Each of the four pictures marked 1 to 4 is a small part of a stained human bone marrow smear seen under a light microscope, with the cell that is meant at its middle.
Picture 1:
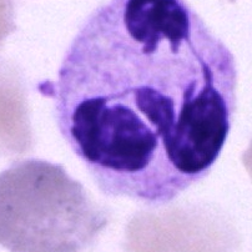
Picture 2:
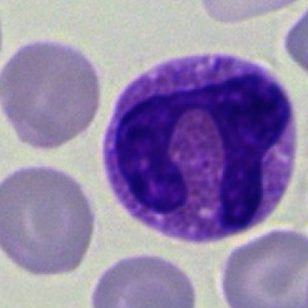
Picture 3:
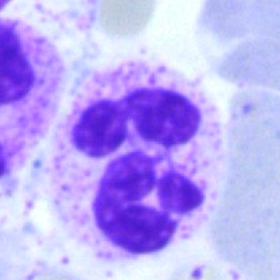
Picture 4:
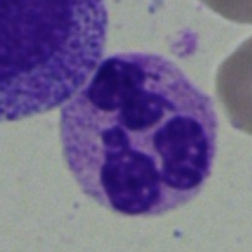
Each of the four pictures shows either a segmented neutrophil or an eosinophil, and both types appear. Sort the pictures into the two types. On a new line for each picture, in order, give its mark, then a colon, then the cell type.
1: segmented neutrophil
2: eosinophil
3: segmented neutrophil
4: segmented neutrophil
